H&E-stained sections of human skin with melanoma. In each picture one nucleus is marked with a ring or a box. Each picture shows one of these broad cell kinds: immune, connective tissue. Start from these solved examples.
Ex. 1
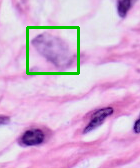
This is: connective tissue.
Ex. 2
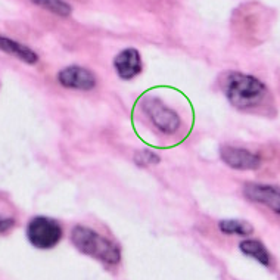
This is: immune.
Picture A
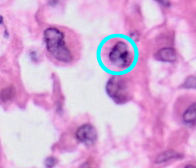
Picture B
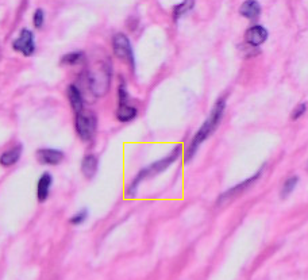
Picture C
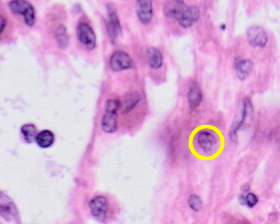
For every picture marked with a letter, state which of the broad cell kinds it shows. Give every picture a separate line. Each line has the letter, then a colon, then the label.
A: immune.
B: connective tissue.
C: immune.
